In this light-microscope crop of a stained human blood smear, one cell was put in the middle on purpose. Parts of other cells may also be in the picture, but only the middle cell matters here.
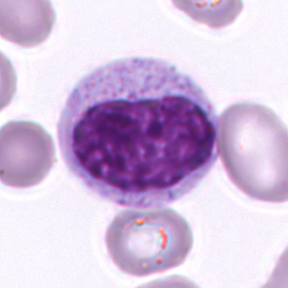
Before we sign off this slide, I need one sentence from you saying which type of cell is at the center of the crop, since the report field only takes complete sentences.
In the central position of this crop, the cell is a metamyelocyte.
